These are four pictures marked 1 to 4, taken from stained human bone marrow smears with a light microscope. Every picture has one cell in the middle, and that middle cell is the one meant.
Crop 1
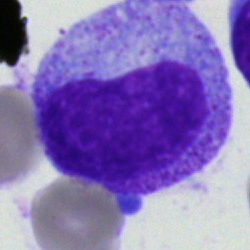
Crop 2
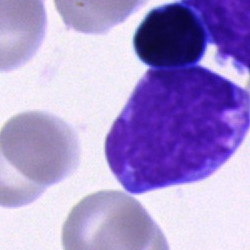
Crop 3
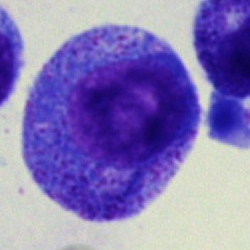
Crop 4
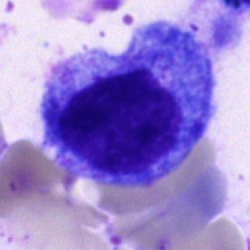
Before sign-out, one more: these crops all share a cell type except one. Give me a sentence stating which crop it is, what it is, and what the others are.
The central cell of crop 2 is a blast, while the other crops show promyelocytes.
